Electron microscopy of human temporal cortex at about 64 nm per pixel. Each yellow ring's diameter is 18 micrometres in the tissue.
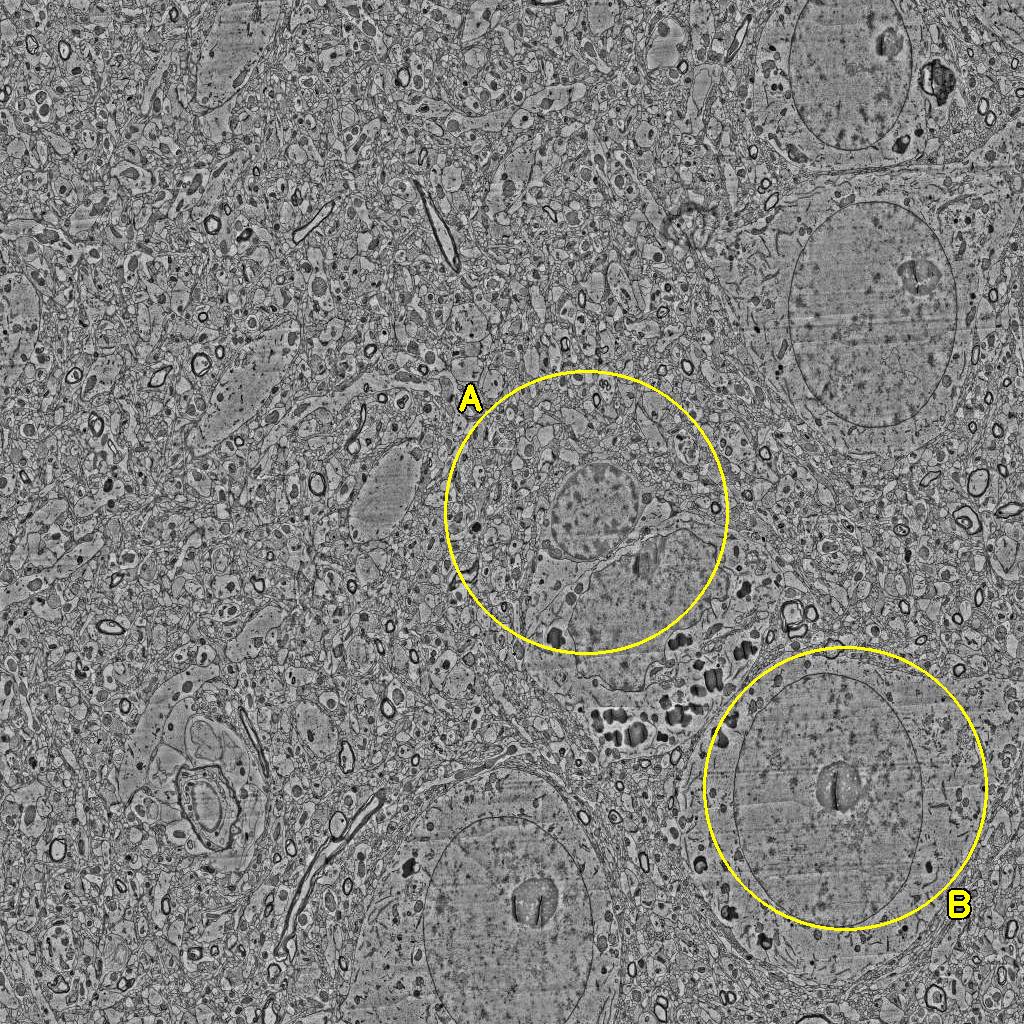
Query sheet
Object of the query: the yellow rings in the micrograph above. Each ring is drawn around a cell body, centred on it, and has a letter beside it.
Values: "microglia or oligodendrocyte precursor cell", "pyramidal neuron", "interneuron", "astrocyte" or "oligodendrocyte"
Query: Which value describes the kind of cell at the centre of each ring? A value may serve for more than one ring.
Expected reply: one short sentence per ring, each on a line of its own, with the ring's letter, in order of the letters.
I assign an oligodendrocyte to ring A.
I assign a pyramidal neuron to ring B.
